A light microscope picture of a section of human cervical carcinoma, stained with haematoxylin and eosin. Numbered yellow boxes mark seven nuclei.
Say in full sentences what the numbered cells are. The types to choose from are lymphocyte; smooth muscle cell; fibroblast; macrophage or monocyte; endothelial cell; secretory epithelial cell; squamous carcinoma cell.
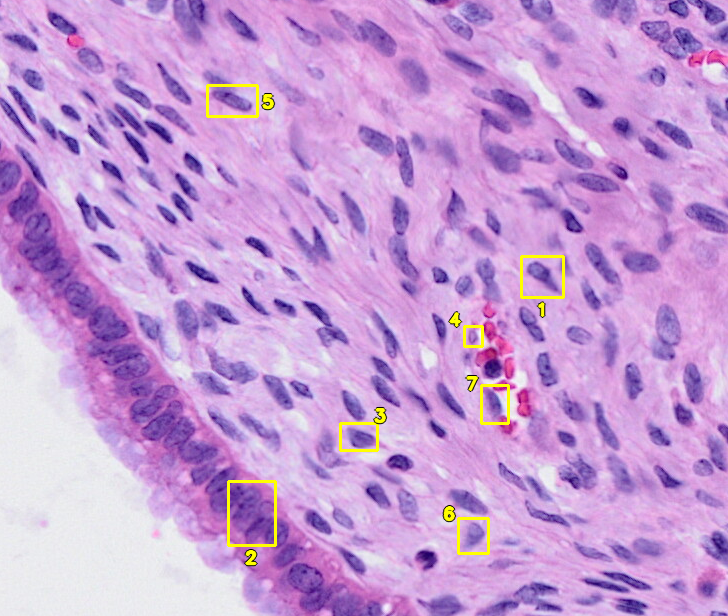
Cell 1 is a fibroblast, cell 2 is a secretory epithelial cell, cell 3 is a fibroblast, cell 4 is an endothelial cell, cell 5 is a fibroblast, cell 6 is a fibroblast and cell 7 is an endothelial cell.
